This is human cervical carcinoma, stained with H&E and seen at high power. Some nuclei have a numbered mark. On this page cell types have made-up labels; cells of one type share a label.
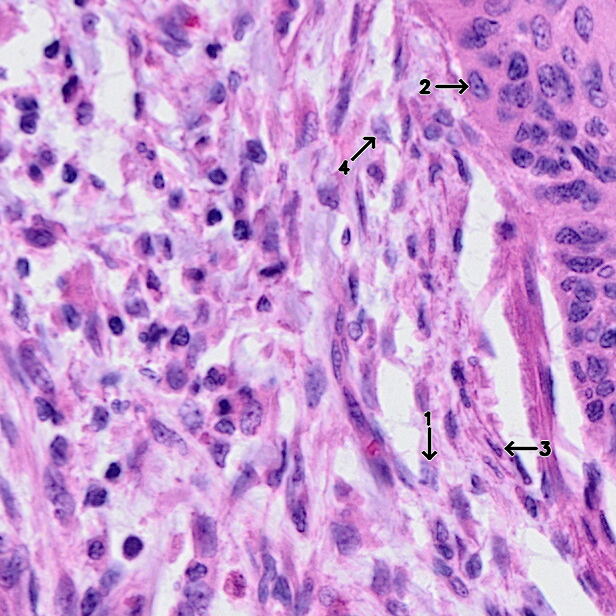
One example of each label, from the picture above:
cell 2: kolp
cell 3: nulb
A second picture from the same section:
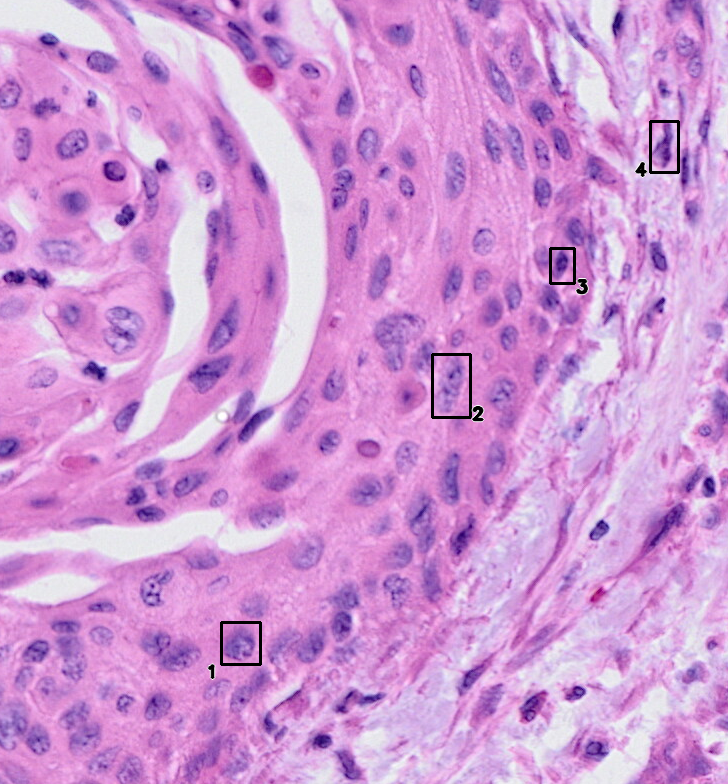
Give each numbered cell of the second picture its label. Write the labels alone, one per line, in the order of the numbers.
kolp
kolp
kolp
nulb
